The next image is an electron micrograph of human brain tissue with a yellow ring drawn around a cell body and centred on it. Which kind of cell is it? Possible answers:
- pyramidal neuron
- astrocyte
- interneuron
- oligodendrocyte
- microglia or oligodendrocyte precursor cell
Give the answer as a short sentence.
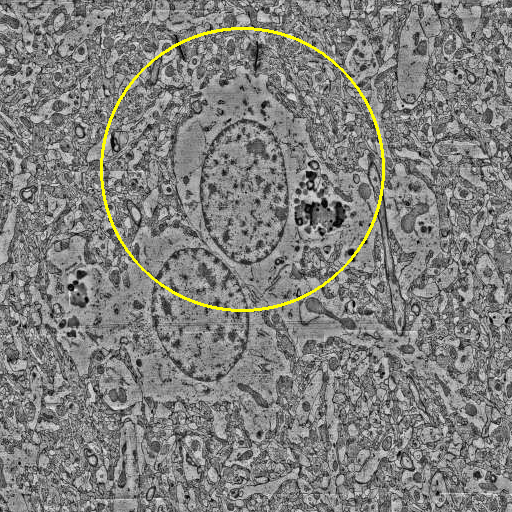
In the ring's centre is an astrocyte.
